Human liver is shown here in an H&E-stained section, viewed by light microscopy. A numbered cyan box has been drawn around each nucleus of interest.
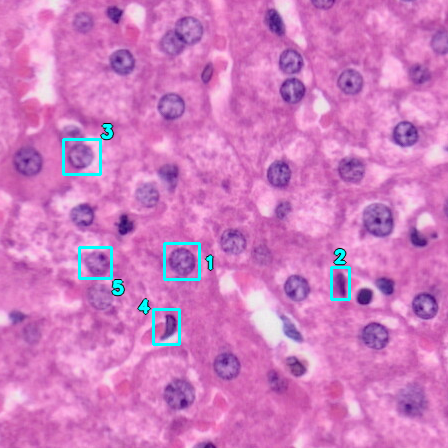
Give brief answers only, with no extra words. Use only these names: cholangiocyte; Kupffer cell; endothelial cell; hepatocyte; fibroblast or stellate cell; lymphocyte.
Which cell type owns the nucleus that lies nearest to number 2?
lymphocyte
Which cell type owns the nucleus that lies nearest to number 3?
hepatocyte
